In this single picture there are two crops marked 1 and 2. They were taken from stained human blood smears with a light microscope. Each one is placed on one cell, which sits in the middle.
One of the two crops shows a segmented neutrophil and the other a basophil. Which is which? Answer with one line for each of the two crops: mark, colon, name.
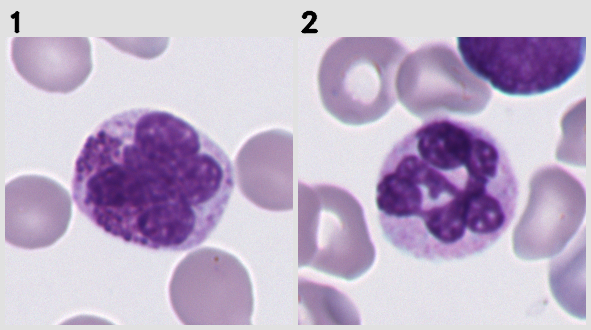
1: basophil
2: segmented neutrophil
